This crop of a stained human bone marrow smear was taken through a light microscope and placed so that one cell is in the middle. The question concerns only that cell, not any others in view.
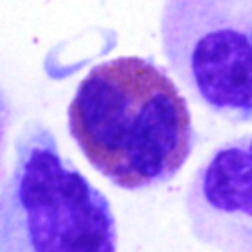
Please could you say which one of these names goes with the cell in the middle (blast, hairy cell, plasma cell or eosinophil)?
eosinophil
